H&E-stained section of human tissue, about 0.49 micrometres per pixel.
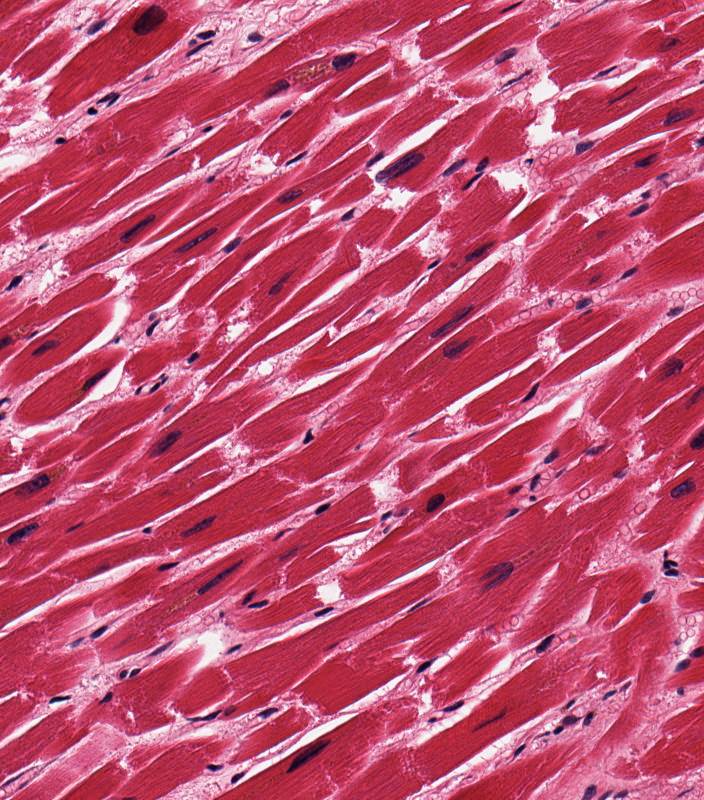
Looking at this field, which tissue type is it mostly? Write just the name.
myocardium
